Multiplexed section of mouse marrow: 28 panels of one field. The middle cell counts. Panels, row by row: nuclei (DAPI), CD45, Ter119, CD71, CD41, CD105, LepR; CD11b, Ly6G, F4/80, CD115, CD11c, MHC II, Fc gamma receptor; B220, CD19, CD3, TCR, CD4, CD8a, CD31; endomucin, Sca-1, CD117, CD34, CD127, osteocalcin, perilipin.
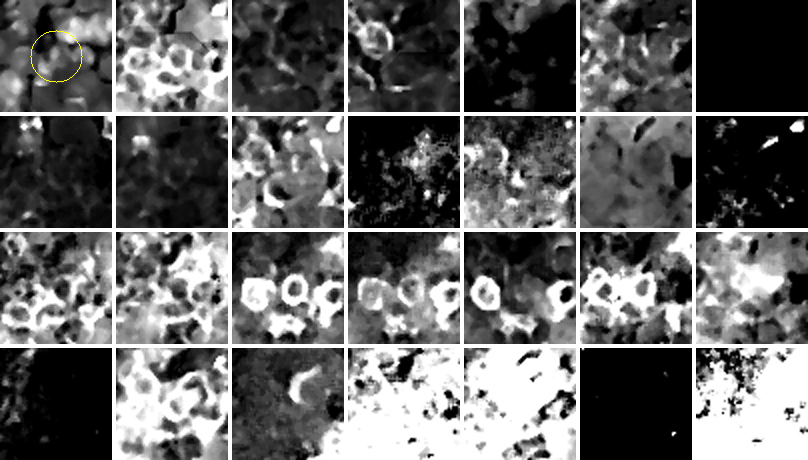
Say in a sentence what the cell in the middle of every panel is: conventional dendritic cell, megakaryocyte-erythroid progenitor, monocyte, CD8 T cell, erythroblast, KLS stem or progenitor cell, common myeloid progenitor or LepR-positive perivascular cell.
This is a conventional dendritic cell.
